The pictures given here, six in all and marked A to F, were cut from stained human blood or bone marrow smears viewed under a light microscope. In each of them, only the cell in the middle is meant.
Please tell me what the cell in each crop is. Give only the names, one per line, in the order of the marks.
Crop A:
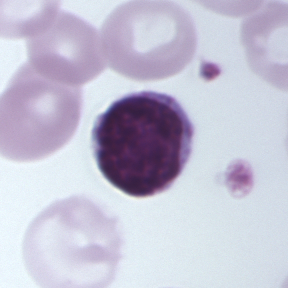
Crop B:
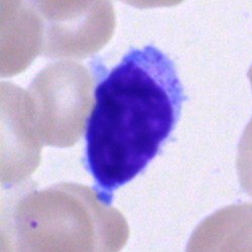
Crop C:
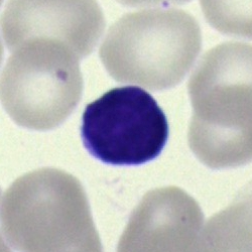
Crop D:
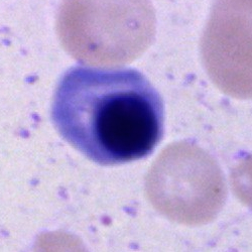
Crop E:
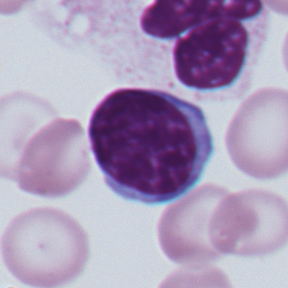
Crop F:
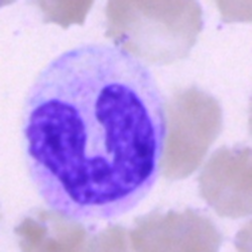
lymphocyte
lymphocyte
lymphocyte
normoblast
lymphocyte
band neutrophil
